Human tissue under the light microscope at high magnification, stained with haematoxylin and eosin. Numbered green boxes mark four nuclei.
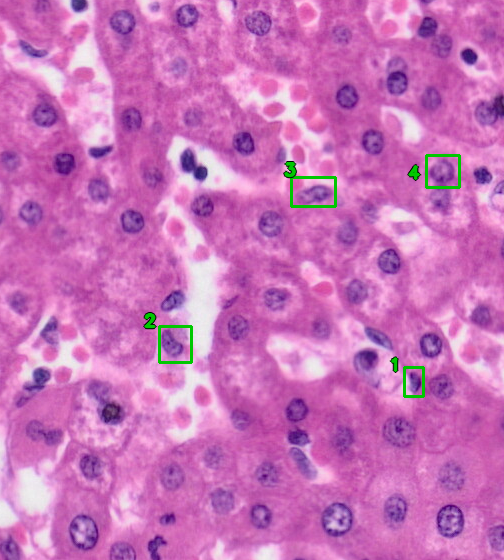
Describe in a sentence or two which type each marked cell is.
Cell 1 is a fibroblast or stellate cell, cell 2 is a Kupffer cell, cell 3 is a Kupffer cell and cell 4 is a hepatocyte.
